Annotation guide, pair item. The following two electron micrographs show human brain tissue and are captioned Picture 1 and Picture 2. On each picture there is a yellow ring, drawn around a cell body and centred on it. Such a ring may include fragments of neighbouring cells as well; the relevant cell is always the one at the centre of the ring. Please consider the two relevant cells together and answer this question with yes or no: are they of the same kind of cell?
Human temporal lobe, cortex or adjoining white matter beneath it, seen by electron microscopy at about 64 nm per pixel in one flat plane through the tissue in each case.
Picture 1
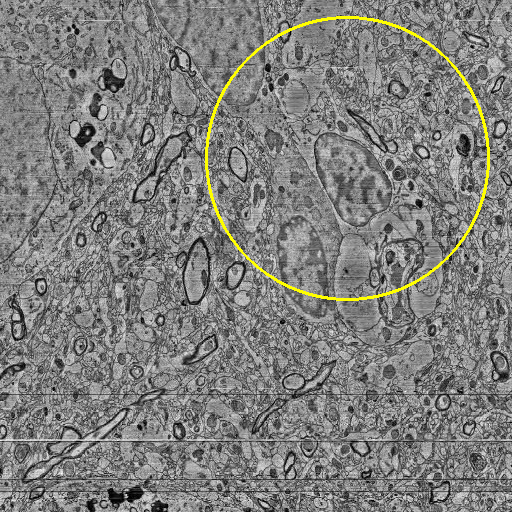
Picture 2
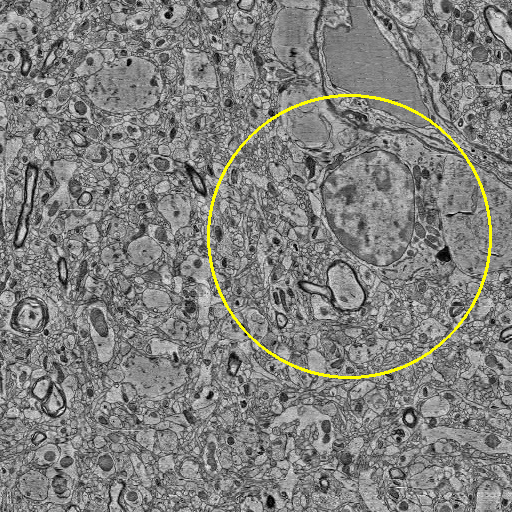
yes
